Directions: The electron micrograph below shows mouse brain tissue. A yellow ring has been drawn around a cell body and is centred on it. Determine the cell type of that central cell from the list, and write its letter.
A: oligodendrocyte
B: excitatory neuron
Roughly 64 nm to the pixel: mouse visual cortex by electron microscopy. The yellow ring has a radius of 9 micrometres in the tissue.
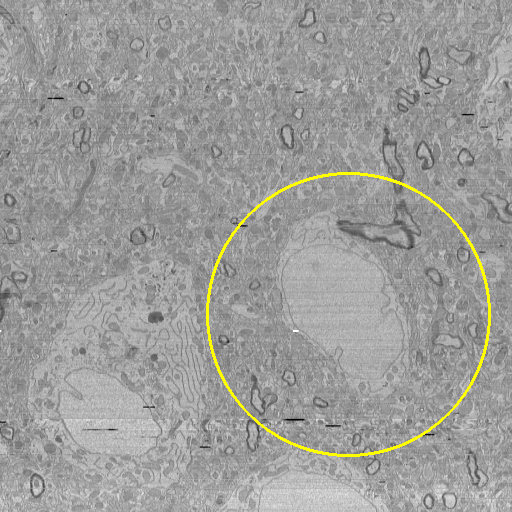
B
